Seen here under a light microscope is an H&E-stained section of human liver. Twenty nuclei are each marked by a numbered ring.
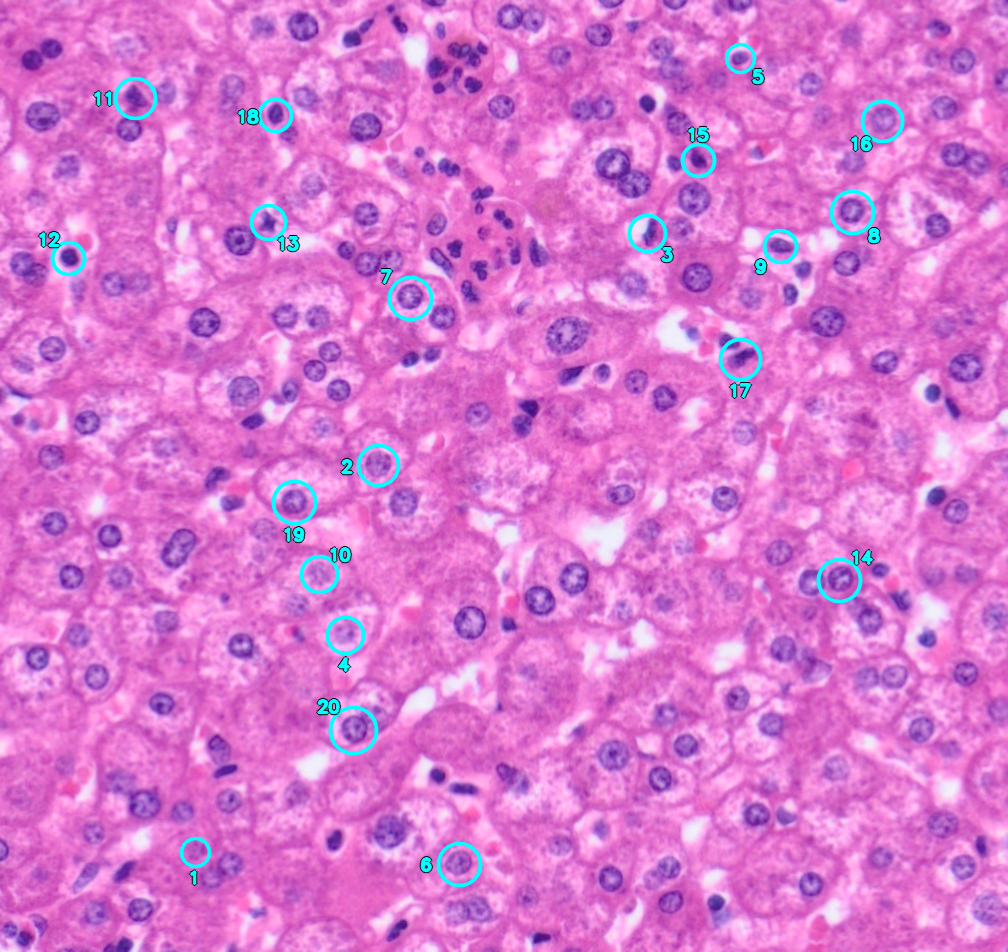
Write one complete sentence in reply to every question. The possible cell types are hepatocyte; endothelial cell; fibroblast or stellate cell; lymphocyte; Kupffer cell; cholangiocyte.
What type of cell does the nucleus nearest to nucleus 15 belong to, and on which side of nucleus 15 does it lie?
Lying to the left of nucleus 15, the nearest nucleus is that of a lymphocyte.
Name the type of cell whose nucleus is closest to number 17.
The nearest nucleus to number 17 belongs to a lymphocyte.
